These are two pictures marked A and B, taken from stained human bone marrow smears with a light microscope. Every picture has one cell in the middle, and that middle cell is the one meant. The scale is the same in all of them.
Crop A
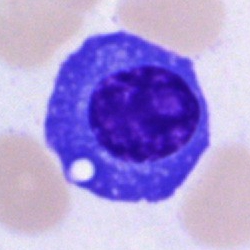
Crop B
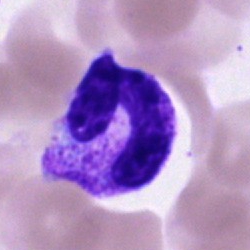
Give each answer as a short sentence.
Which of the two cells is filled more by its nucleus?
It is the cell in crop B that is filled more by its nucleus.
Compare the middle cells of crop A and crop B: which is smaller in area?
Smaller is the cell in crop B, and the other is about 1.5 times as large in area.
